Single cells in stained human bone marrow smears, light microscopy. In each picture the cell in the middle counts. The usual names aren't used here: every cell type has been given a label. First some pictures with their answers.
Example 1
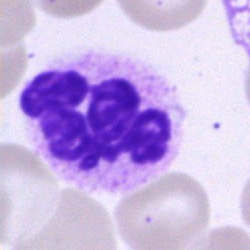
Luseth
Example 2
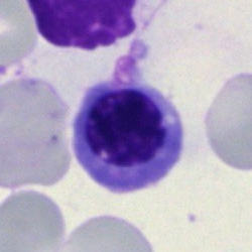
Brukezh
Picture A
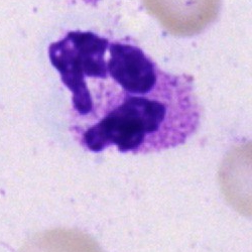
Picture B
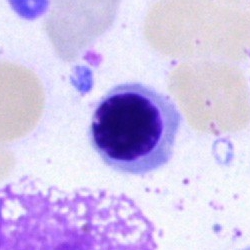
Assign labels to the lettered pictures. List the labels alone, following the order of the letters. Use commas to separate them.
Luseth, Brukezh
